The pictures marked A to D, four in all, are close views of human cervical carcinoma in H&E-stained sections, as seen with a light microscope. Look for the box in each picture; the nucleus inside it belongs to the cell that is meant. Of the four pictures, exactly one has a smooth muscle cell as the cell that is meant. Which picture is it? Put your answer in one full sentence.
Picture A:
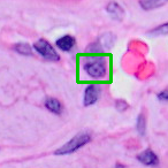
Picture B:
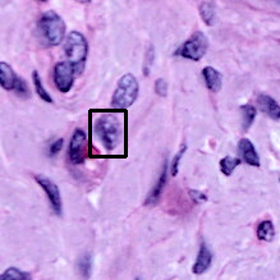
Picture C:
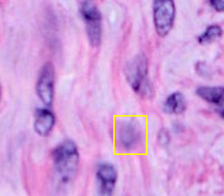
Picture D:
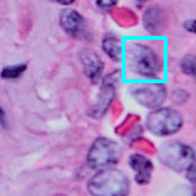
The smooth muscle cell is the one in picture C.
